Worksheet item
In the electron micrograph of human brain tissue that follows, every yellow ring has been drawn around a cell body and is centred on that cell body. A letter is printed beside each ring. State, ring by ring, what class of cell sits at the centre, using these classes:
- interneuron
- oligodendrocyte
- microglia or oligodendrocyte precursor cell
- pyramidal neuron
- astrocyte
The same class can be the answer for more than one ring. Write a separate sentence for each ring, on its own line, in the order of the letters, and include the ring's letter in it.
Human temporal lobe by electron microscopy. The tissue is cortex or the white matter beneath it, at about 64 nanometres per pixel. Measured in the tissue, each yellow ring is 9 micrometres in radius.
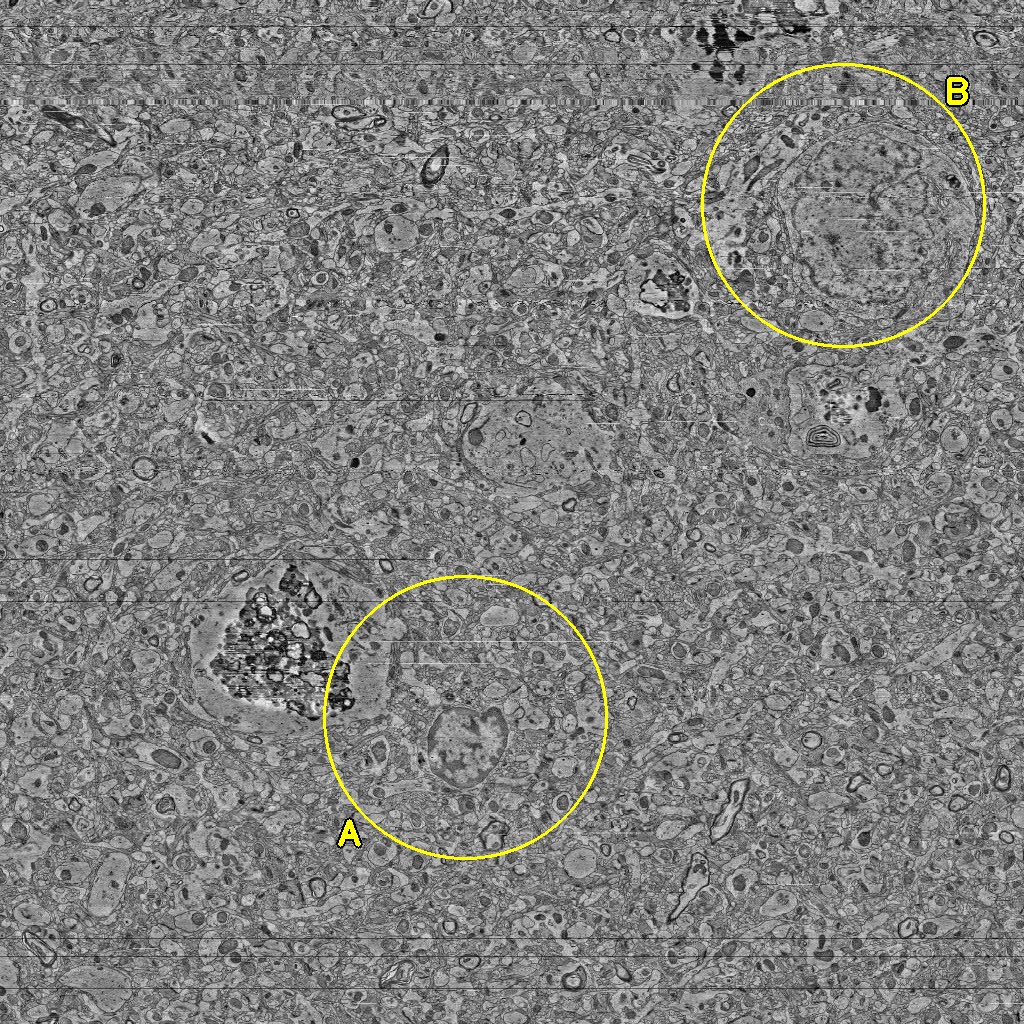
At the centre of ring A sits a microglial cell or oligodendrocyte precursor cell.
At the centre of ring B sits an interneuron.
